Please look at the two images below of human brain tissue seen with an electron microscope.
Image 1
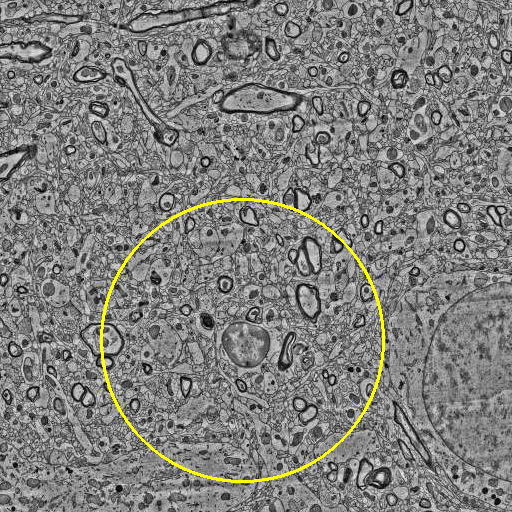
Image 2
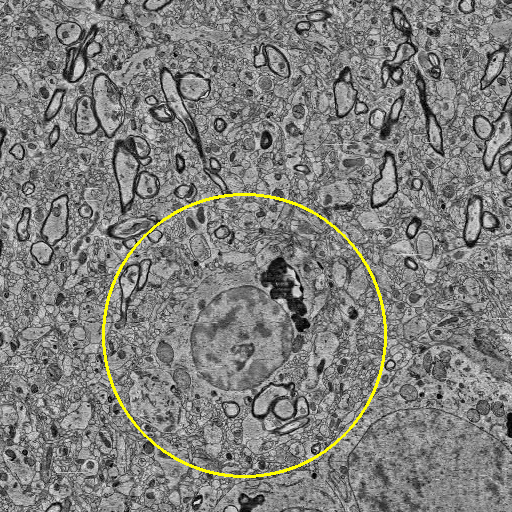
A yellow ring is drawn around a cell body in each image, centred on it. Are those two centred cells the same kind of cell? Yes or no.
no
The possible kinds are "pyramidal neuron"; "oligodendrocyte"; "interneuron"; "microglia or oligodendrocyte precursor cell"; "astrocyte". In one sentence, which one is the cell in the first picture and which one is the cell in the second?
The cell ringed in the second picture is an oligodendrocyte, whereas the one ringed in the first is a microglial cell or oligodendrocyte precursor cell.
